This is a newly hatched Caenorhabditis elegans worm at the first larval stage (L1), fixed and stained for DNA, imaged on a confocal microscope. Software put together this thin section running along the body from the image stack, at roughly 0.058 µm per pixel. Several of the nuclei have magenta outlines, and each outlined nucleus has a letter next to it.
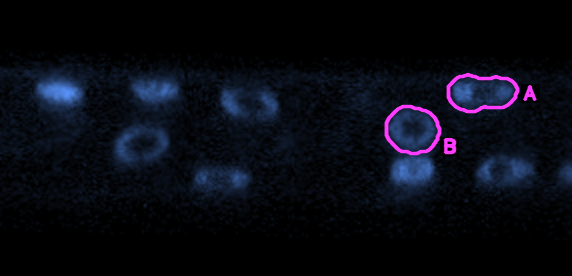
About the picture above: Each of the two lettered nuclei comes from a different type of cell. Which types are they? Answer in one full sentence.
One is from a hypodermal cell (hyp), namely A, and the other, B, is from an intestinal cell.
